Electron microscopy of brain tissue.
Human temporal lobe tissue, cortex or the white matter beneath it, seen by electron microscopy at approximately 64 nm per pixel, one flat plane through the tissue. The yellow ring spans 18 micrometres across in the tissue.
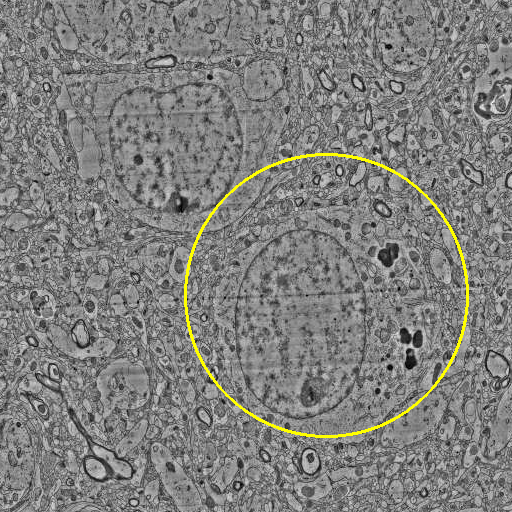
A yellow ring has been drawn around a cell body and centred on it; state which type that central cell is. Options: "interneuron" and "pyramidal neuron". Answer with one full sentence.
The cell at the middle of the yellow ring is an interneuron in this picture.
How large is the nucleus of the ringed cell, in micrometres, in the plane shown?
The nucleus measures about 12 by 8 micrometres in this plane.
